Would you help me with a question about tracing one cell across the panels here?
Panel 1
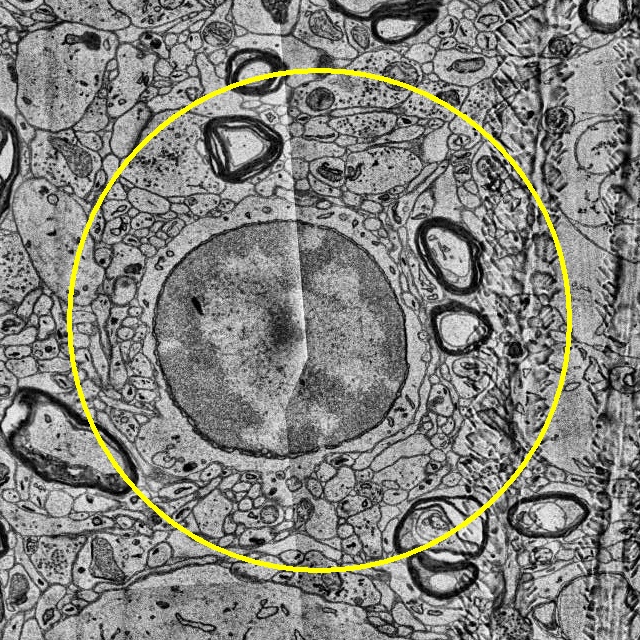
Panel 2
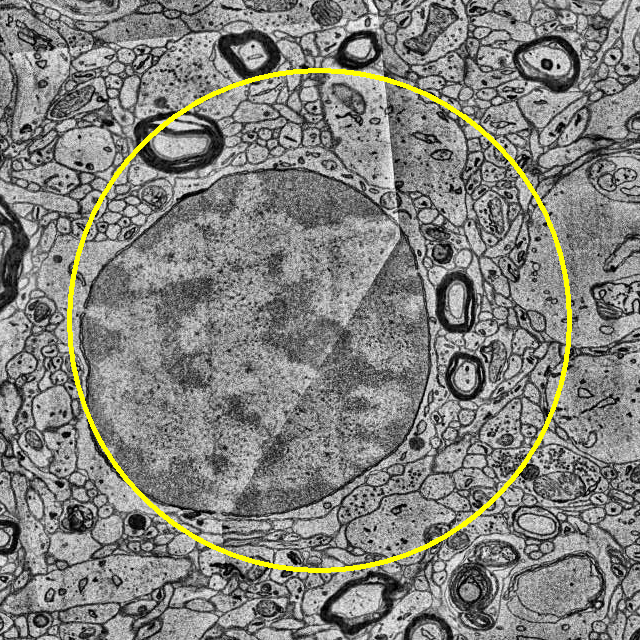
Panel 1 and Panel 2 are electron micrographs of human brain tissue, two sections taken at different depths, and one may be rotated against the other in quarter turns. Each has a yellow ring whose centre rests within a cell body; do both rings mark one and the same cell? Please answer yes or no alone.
yes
